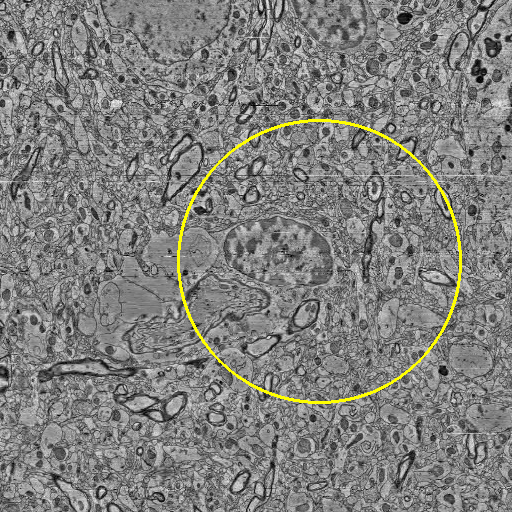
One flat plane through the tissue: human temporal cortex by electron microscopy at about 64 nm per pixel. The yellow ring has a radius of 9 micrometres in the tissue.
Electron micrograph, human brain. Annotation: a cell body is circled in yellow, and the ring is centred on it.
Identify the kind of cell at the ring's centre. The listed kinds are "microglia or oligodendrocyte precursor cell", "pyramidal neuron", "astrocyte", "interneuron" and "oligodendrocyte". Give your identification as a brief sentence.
The circled cell body is that of a microglial cell or oligodendrocyte precursor cell.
